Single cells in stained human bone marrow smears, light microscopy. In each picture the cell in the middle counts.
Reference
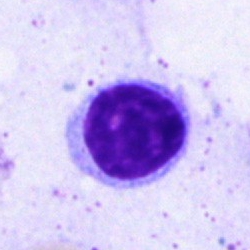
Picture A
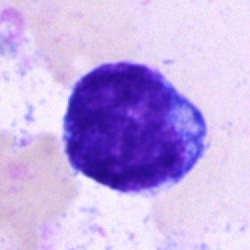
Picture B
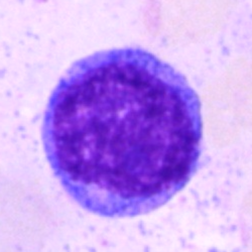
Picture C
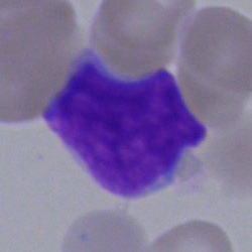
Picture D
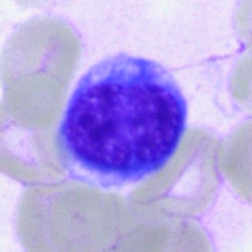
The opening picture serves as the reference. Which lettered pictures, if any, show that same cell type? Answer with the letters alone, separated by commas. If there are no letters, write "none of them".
D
